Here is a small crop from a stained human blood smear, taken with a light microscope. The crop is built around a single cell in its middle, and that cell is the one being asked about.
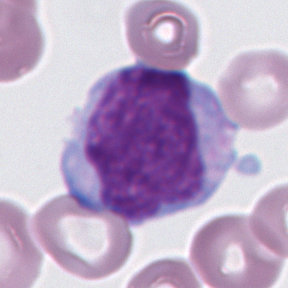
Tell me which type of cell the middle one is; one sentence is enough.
Among the cells in view, the one in the middle is an atypical promyelocyte.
